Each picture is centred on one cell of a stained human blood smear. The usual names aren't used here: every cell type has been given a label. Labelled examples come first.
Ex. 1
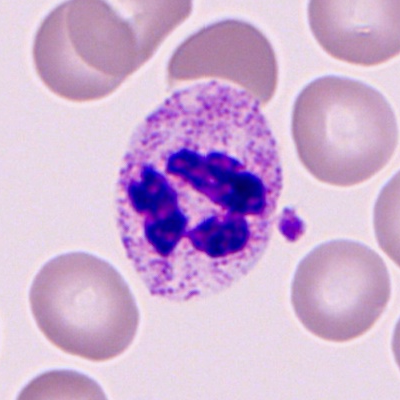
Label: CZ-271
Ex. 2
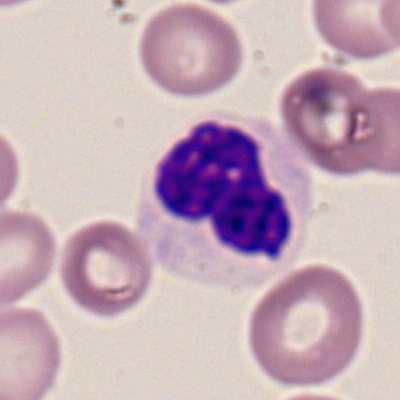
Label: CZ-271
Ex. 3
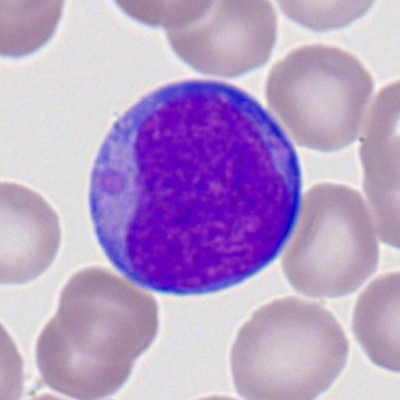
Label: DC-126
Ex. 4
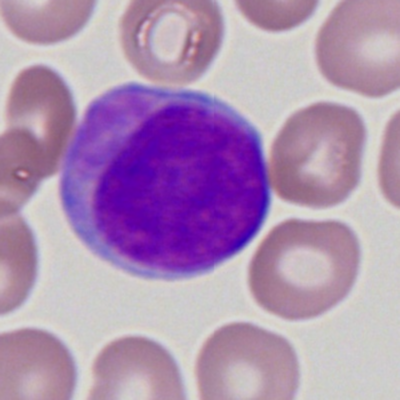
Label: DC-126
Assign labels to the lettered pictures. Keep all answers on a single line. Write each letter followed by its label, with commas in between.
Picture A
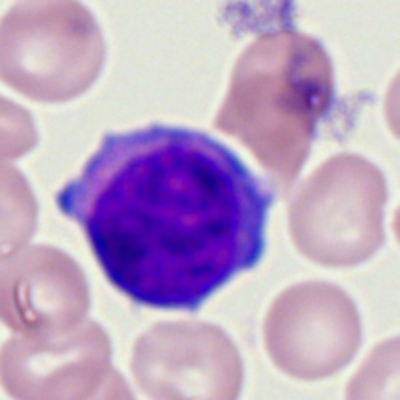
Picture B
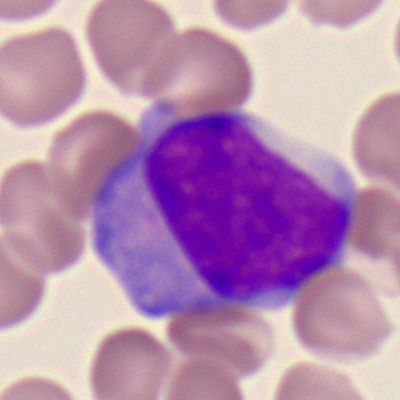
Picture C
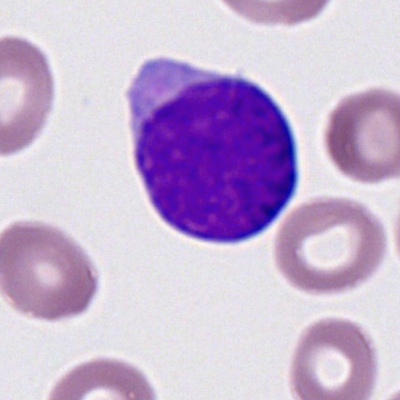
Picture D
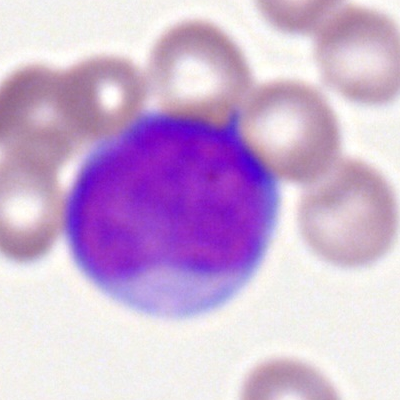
A DC-126, B DC-126, C DC-126, D DC-126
